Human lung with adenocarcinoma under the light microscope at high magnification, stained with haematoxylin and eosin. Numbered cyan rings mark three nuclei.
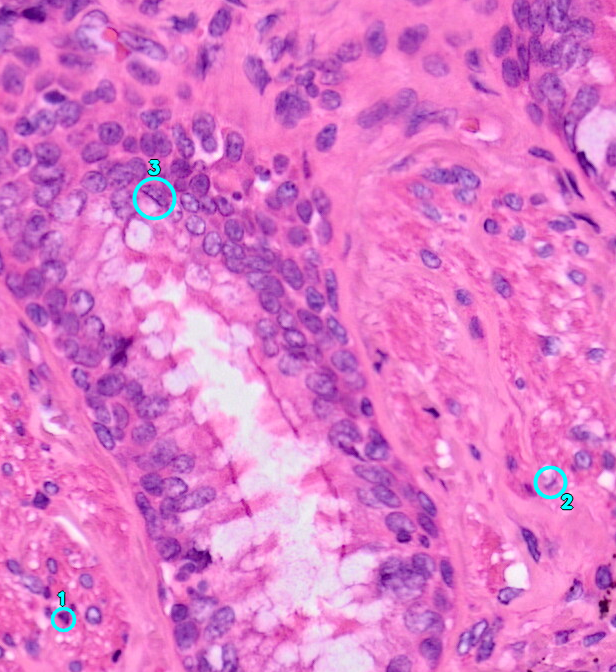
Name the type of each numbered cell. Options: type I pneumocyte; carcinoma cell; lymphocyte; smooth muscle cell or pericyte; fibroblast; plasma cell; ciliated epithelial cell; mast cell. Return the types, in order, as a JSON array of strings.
["smooth muscle cell or pericyte", "smooth muscle cell or pericyte", "ciliated epithelial cell"]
